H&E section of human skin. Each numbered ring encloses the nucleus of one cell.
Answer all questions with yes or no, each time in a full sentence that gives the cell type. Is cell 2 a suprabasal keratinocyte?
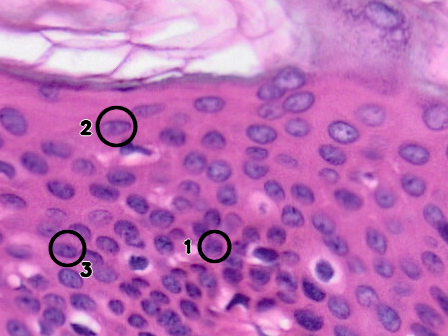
Yes, that is right: the cell labelled 2 is a suprabasal keratinocyte.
